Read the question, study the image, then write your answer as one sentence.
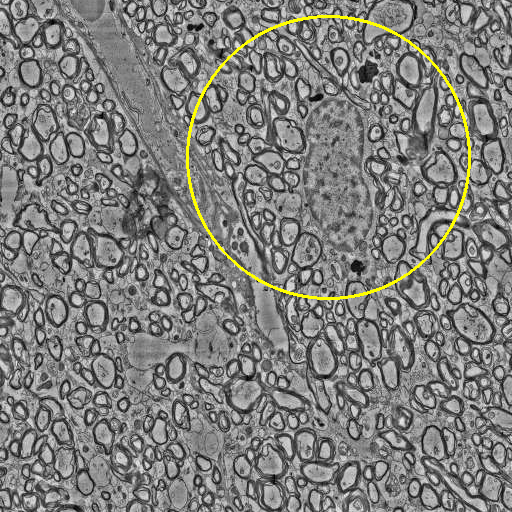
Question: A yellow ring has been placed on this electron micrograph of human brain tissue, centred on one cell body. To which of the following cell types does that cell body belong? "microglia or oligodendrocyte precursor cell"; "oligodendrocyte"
That cell body belongs to an oligodendrocyte.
